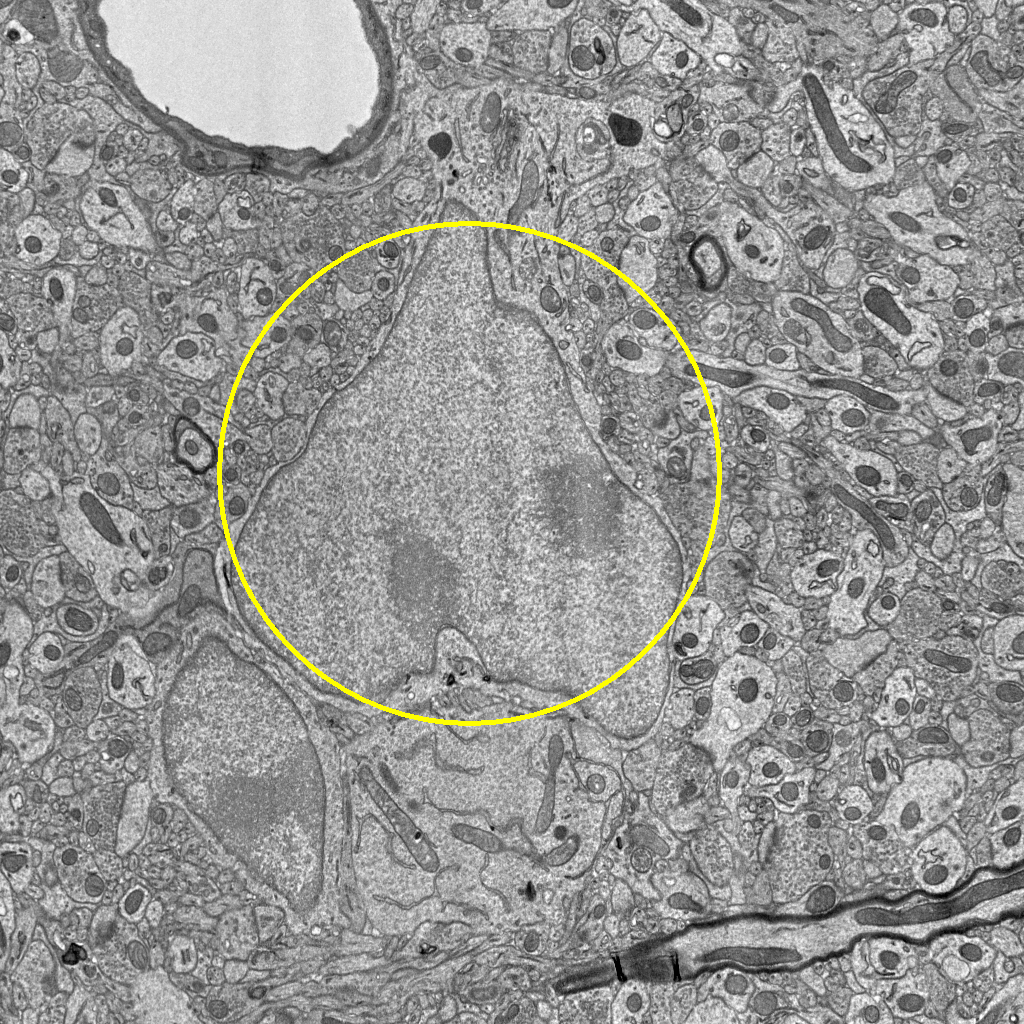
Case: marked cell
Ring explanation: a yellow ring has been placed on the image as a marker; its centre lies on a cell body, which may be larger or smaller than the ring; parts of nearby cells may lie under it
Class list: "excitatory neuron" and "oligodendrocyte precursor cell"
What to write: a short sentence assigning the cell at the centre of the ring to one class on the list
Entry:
The cell at the ring's centre is an oligodendrocyte precursor cell.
